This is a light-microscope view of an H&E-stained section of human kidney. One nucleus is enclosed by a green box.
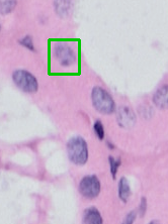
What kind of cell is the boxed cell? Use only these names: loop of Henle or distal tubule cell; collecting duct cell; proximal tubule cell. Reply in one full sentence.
The cell type represented by the boxed cell is that of a loop of Henle or distal tubule cell.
